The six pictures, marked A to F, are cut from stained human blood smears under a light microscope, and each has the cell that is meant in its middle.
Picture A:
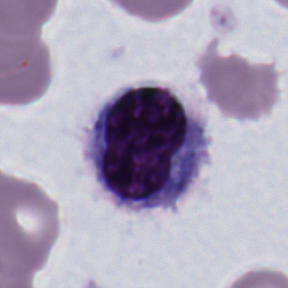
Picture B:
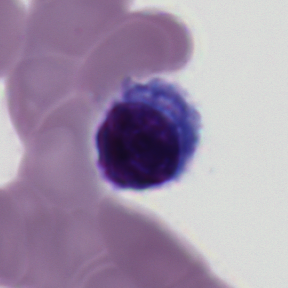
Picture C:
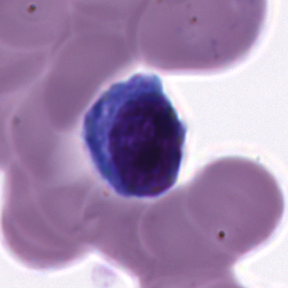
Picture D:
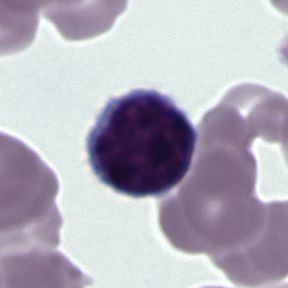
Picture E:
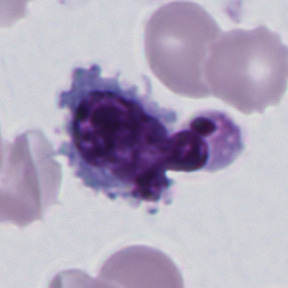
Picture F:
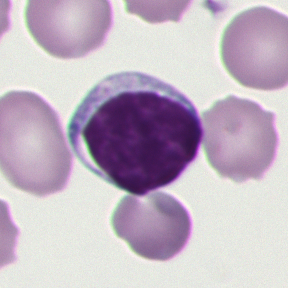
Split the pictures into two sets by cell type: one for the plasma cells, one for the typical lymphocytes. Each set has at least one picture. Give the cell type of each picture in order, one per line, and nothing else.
plasma cell
plasma cell
plasma cell
typical lymphocyte
plasma cell
typical lymphocyte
